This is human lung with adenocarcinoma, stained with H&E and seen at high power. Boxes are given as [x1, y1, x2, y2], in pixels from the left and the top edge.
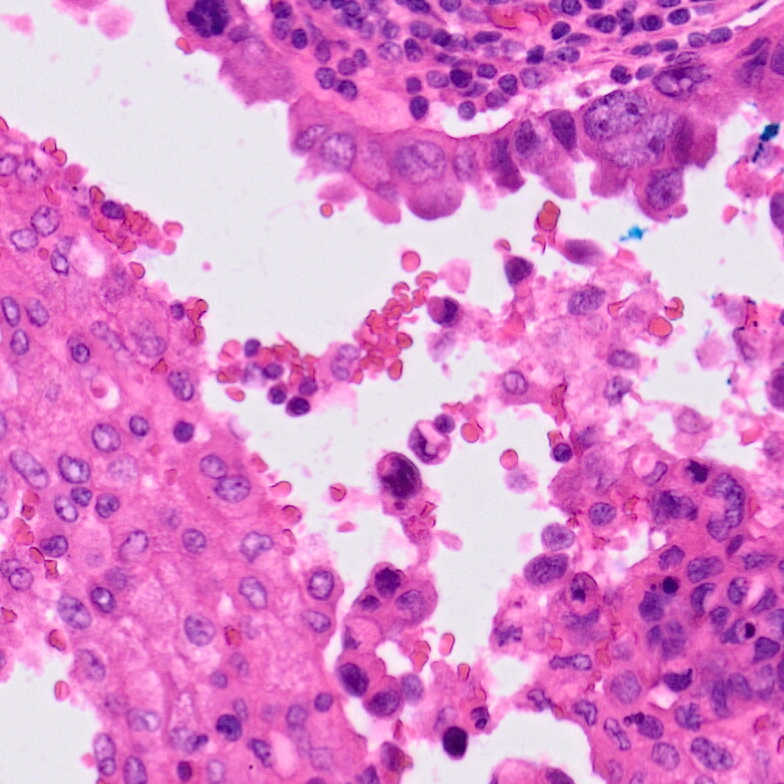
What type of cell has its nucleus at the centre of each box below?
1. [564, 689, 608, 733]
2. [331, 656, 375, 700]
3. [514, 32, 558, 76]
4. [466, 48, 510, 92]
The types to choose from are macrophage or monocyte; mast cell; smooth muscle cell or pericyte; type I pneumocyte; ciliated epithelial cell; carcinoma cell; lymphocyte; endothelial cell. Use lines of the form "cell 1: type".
cell 1: macrophage or monocyte
cell 2: carcinoma cell
cell 3: lymphocyte
cell 4: lymphocyte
